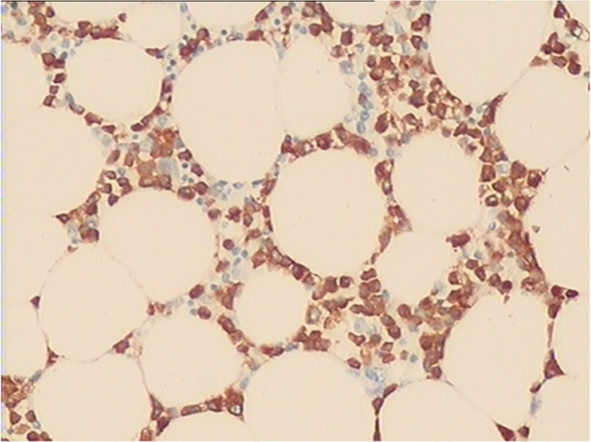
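Bone marrow section with many large round clear fat spaces separated by cords and sheets of hematopoietic cells. The brown cells lie in clusters and sheets rather than singly, mixed with smaller unstained cells showing only blue nuclei. The fat spaces themselves are empty and thin-walled.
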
